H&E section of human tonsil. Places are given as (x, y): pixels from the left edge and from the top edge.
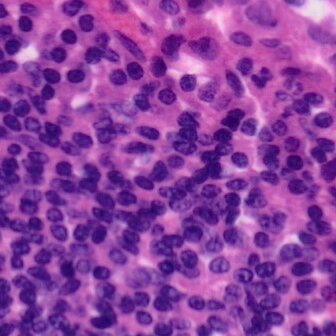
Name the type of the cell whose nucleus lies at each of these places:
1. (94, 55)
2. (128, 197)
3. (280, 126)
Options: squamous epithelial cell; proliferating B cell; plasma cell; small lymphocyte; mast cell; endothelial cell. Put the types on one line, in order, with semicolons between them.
plasma cell; small lymphocyte; plasma cell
